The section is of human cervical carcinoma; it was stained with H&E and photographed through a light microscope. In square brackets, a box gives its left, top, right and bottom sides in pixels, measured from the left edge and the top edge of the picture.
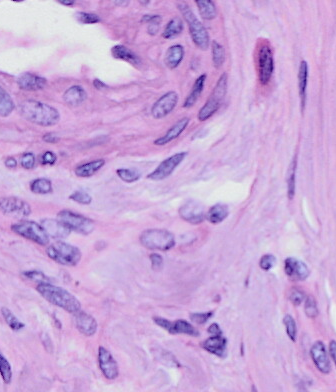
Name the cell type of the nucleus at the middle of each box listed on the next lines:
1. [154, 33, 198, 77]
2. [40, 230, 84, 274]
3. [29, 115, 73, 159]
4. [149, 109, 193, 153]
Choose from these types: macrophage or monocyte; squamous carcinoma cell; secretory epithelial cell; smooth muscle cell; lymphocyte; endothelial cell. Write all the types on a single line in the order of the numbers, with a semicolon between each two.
smooth muscle cell; endothelial cell; smooth muscle cell; smooth muscle cell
